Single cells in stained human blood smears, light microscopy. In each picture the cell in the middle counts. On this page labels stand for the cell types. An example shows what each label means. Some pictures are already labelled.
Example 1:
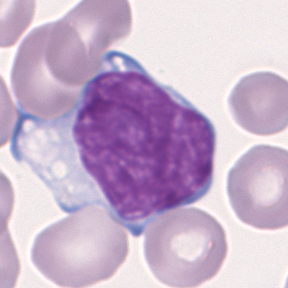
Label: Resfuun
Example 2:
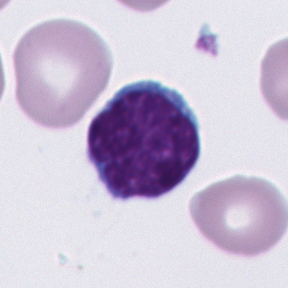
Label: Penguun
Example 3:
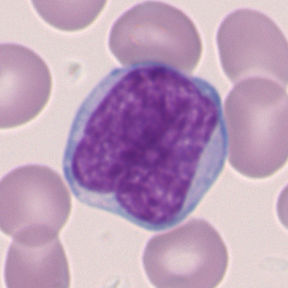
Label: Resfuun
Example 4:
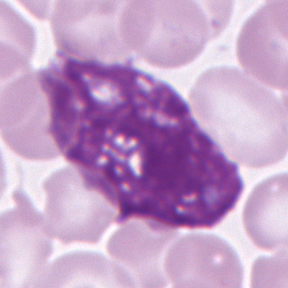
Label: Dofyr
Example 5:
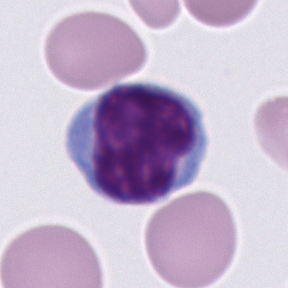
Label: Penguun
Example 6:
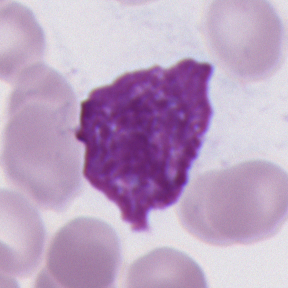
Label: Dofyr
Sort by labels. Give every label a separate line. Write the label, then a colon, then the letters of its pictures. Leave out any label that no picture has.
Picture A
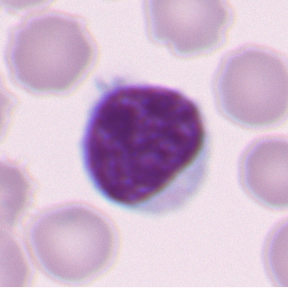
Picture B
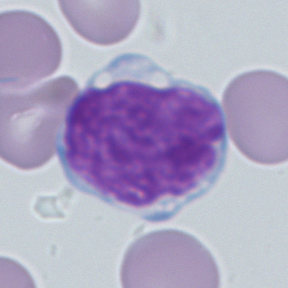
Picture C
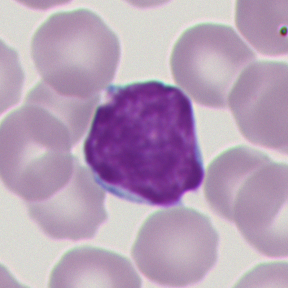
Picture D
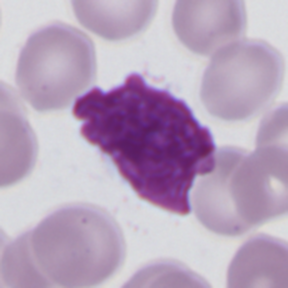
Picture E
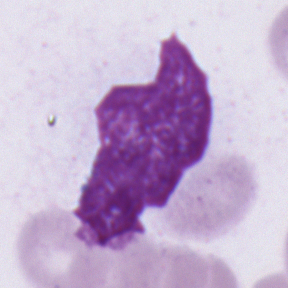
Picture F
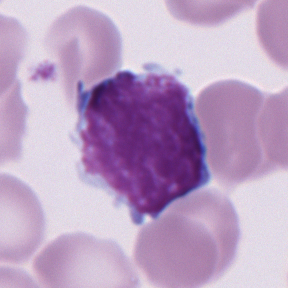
Resfuun: B
Penguun: A, C, F
Dofyr: D, E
